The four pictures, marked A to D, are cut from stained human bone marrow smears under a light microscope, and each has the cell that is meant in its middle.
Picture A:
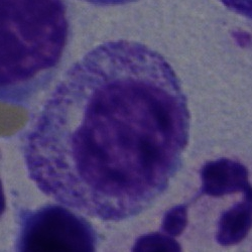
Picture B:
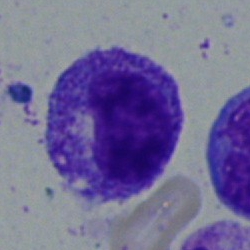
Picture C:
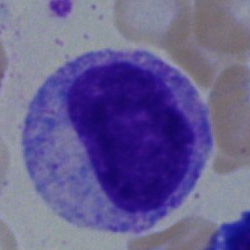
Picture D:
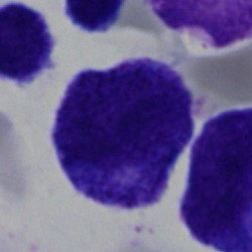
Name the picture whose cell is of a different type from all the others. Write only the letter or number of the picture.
D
